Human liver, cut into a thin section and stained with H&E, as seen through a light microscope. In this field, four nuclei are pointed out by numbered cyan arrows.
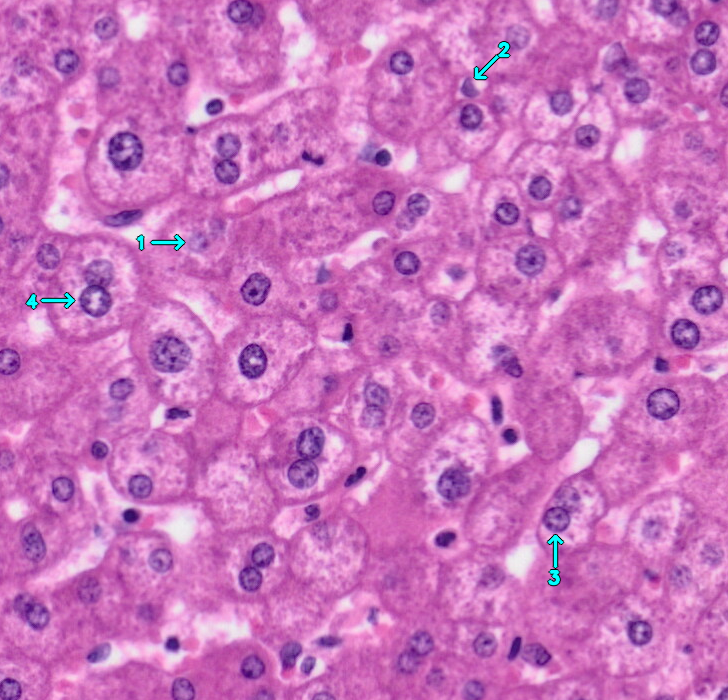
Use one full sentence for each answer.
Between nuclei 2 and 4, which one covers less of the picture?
It is nucleus 2; nucleus 4 has about 3 times its area.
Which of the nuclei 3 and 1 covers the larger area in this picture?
It is nucleus 3, which covers about 1.5 times the area of nucleus 1.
